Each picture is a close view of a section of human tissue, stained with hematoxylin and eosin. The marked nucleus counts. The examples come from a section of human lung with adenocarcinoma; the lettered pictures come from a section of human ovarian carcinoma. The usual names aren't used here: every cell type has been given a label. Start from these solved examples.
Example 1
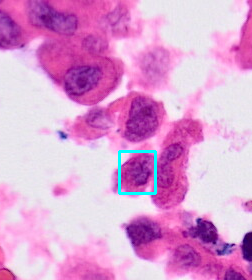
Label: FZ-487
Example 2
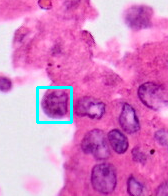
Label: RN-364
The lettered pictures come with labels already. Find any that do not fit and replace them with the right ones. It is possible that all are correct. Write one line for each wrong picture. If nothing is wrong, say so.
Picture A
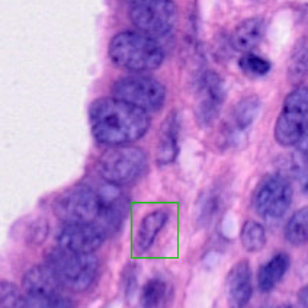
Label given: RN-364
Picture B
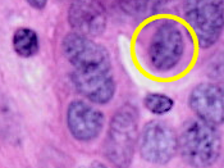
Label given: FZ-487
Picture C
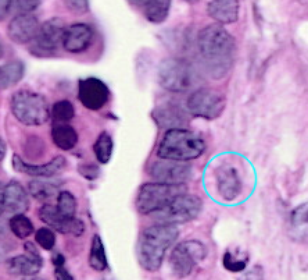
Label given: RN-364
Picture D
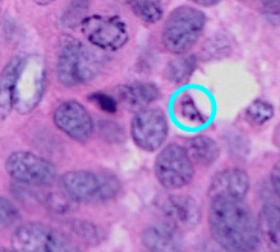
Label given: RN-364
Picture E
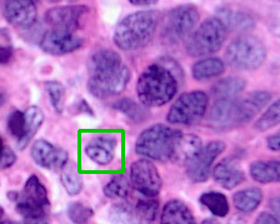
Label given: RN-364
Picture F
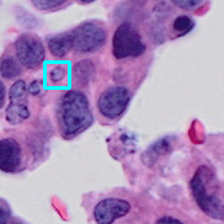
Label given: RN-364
No label is wrong.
